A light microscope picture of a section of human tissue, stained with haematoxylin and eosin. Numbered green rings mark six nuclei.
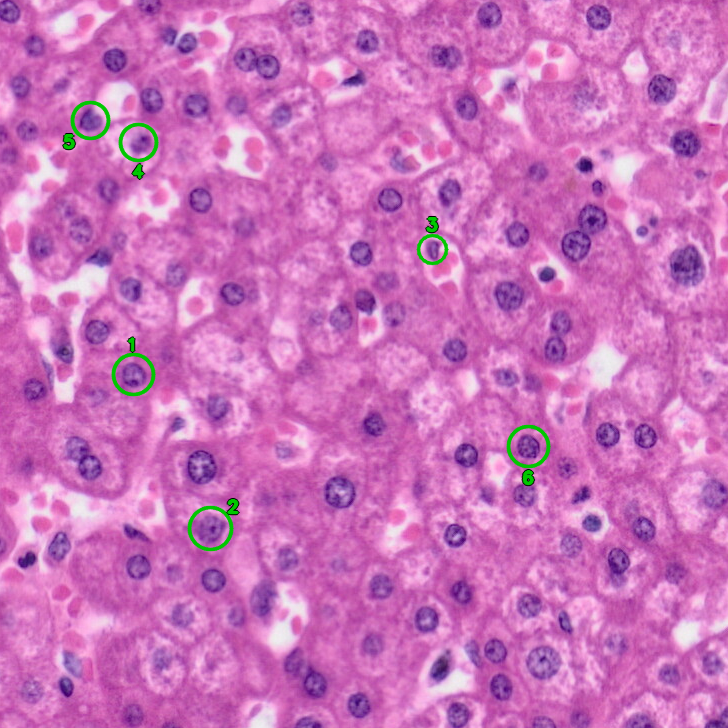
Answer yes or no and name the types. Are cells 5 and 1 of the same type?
No, what is marked as cell 5 is a fibroblast or stellate cell, and what is marked as cell 1 is a hepatocyte.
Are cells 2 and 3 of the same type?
No, the identities are a hepatocyte for cell 2 and a Kupffer cell for cell 3.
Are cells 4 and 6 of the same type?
Yes, cells 4 and 6 are hepatocytes, both of them.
